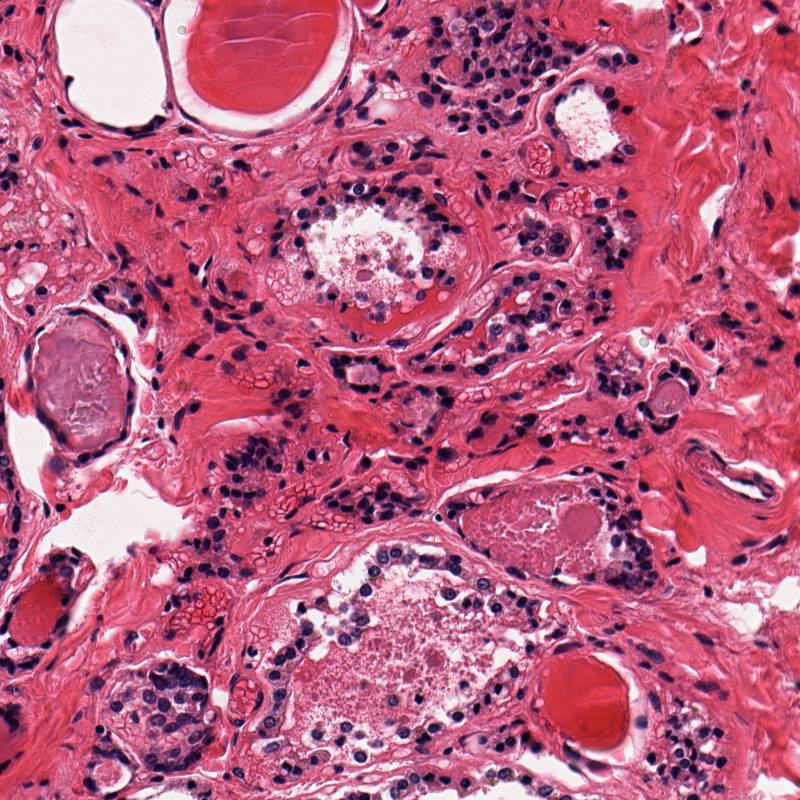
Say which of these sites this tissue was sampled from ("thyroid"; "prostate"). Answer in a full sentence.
The site this tissue was sampled from is the thyroid.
